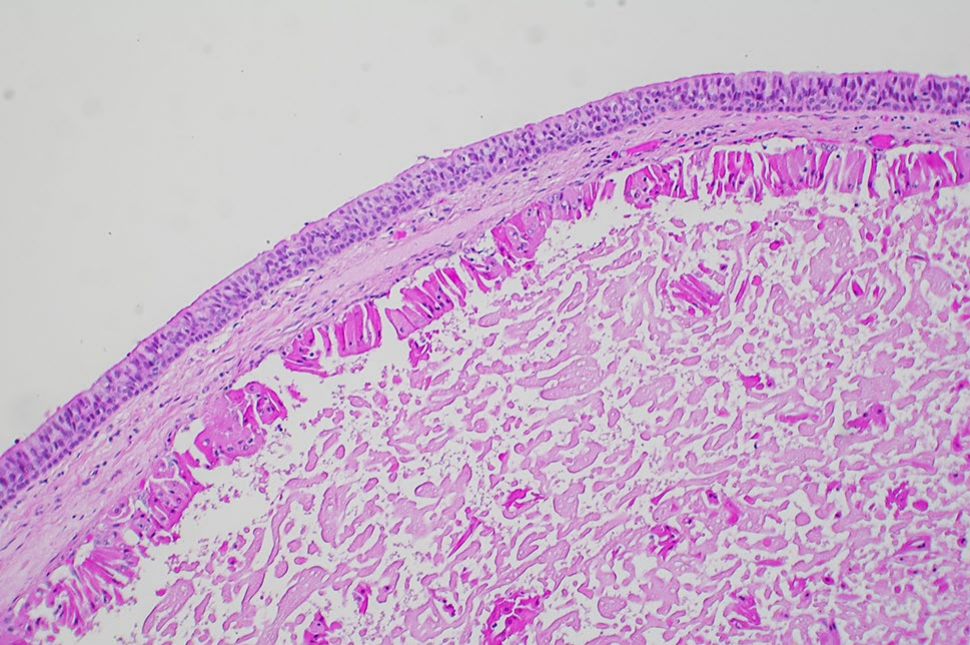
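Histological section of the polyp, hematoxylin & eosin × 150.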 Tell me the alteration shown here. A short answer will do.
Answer: Oncocytic cystadenoma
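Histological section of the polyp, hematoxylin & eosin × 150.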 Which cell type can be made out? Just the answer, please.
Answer: Large and tall columnar cells with granular eosinophilic cytoplasm.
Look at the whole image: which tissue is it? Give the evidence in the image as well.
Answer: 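The outer, convex surface is covered by a continuous band of closely packed columnar cells. The nuclei of this band lie at several heights, so it looks multilayered. The band is of even thickness and regular along its length.
Hence: orderly pseudostratified columnar epithelium.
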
